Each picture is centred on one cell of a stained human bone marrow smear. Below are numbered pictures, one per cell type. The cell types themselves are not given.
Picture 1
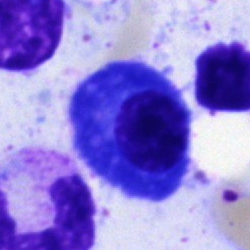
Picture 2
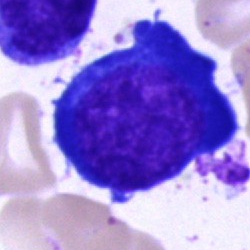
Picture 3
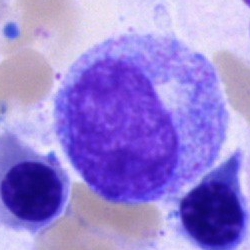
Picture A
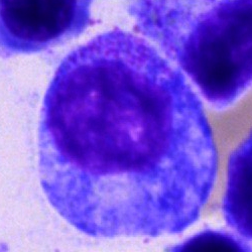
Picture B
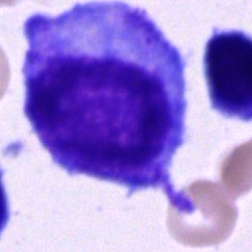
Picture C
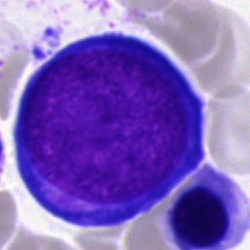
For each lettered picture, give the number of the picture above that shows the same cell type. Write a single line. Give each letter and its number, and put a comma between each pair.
A 3, B 3, C 2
